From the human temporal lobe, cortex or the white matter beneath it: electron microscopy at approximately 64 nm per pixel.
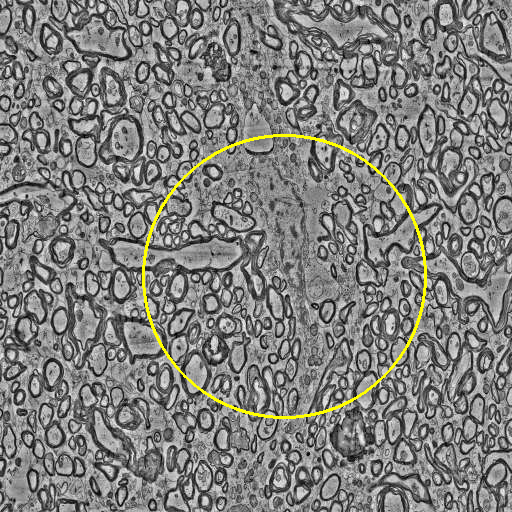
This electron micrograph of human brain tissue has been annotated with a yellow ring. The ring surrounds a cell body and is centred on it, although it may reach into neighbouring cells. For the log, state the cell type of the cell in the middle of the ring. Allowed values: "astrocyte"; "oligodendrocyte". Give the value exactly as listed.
astrocyte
